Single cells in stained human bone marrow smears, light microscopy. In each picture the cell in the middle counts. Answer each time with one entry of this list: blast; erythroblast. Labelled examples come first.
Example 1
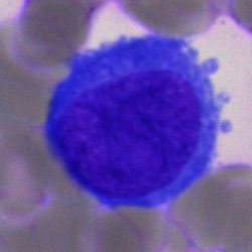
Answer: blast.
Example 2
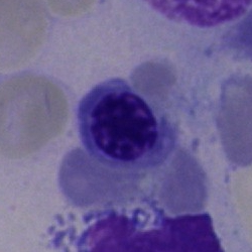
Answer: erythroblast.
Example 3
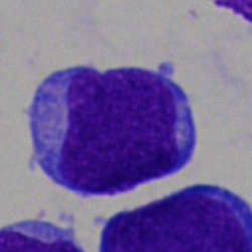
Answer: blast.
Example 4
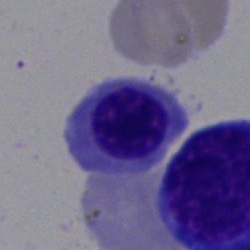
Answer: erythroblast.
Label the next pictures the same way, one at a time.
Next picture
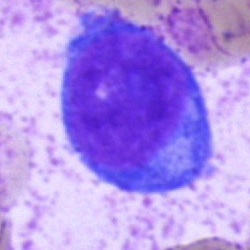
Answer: blast.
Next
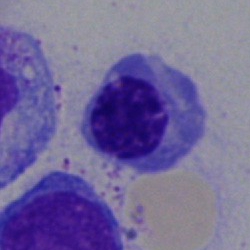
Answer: erythroblast.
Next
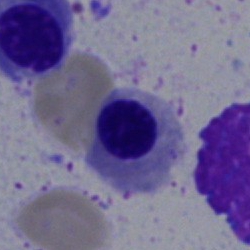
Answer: erythroblast.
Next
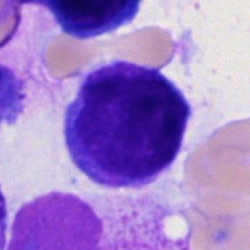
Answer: blast.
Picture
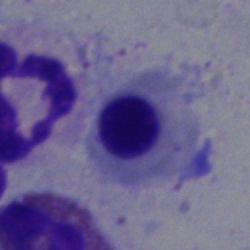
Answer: erythroblast.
